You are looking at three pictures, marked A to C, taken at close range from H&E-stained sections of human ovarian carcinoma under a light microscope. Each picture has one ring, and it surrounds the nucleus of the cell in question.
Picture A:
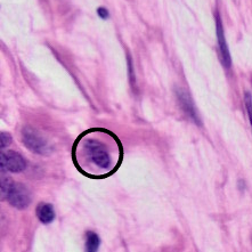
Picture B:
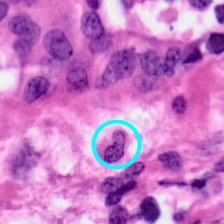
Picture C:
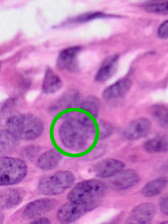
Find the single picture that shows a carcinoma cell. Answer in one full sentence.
The picture with the carcinoma cell is C.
